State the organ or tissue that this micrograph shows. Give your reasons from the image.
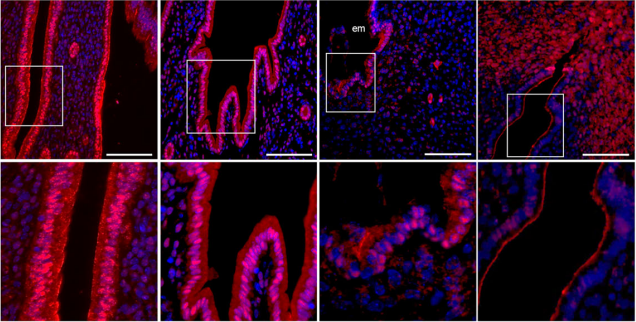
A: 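Uterus. A narrow lumen is lined by a folded epithelium. Dense stroma with scattered glands surrounds the lumen.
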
